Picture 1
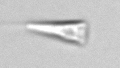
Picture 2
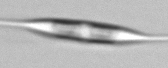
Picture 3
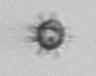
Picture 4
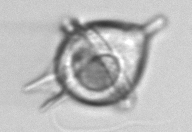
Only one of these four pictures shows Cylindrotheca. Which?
Picture 2.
